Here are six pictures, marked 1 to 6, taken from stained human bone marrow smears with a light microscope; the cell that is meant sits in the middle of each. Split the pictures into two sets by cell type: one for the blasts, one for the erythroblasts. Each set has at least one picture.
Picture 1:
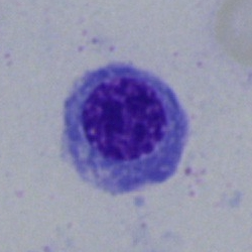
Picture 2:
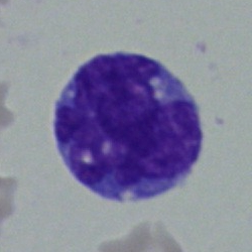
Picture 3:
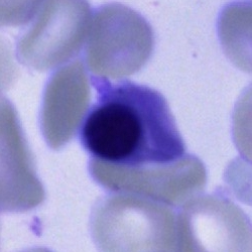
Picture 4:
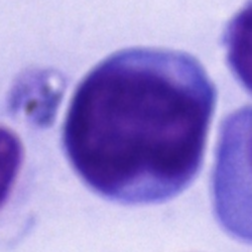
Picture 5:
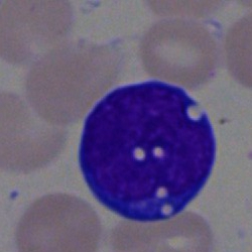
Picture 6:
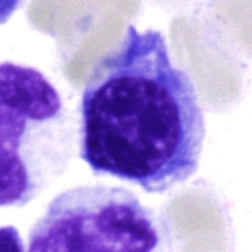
1: erythroblast
2: blast
3: erythroblast
4: blast
5: blast
6: erythroblast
